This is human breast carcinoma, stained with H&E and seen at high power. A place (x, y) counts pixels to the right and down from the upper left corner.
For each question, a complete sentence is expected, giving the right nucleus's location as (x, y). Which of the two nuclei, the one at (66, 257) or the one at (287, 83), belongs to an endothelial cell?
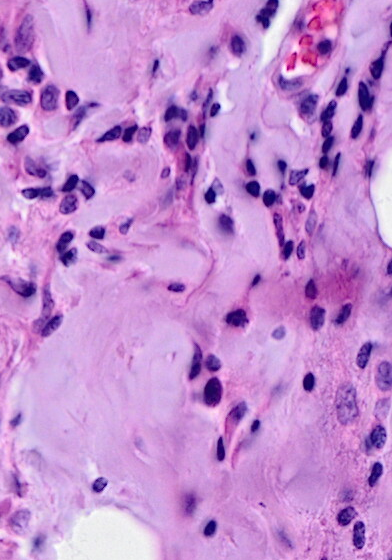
The nucleus at (287, 83), rather than the other one, belongs to an endothelial cell.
